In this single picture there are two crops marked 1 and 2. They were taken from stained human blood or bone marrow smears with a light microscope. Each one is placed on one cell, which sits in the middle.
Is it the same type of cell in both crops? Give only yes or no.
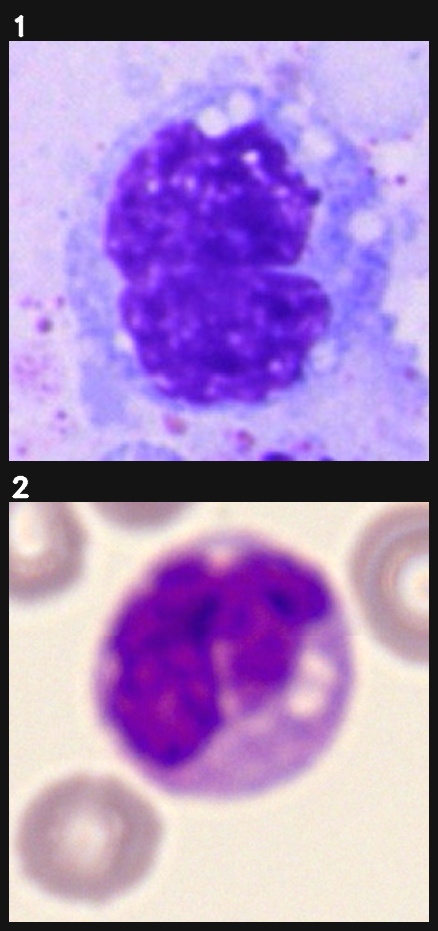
yes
